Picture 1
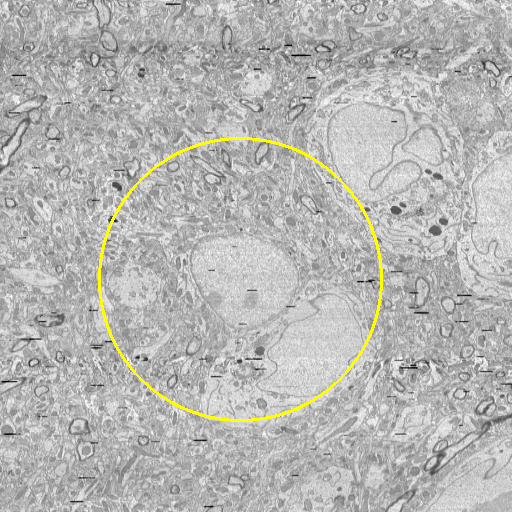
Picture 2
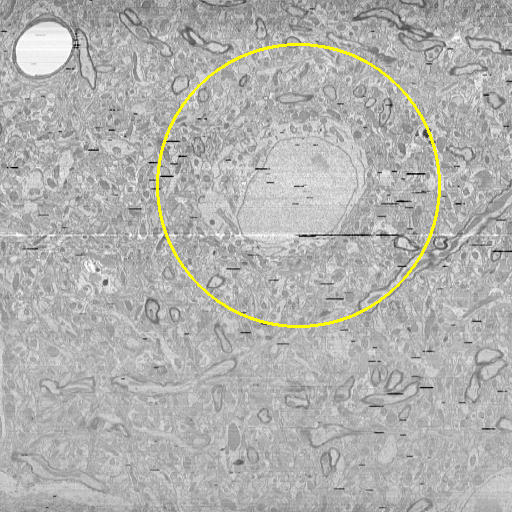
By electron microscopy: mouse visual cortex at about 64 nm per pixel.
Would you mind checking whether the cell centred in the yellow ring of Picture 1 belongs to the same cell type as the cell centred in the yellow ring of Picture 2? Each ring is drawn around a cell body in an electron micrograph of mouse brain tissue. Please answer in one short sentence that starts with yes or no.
No, the two cells are of two types.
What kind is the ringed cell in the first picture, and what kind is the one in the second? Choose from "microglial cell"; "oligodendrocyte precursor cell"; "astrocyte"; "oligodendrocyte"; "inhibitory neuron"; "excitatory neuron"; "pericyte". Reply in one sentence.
The first cell is an astrocyte; the second is an excitatory neuron.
